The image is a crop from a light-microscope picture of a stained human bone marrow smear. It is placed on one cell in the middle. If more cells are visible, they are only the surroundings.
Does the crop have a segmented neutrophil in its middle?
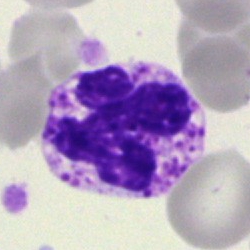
yes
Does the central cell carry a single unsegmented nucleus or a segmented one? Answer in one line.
We find a nucleus divided into at least two lobes.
